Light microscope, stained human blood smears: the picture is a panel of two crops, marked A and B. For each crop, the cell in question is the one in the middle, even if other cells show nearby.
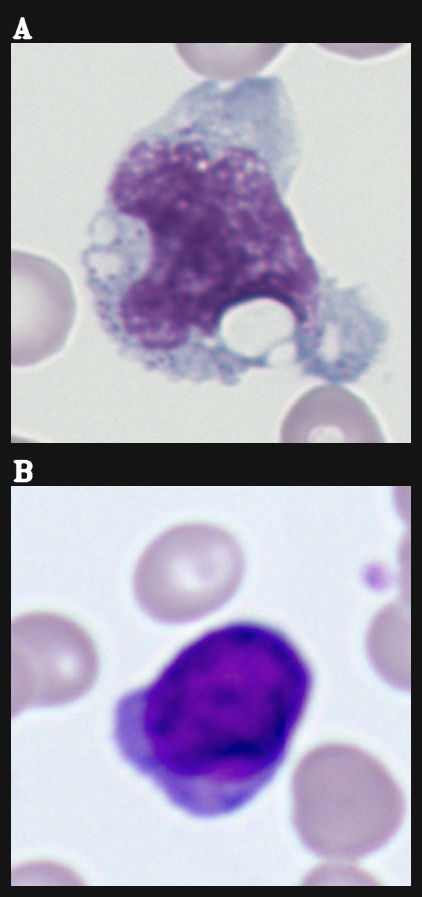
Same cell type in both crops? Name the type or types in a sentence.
No, sorry, crop A shows a monocyte and crop B shows a blast.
